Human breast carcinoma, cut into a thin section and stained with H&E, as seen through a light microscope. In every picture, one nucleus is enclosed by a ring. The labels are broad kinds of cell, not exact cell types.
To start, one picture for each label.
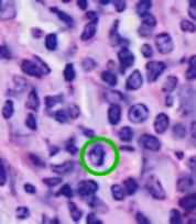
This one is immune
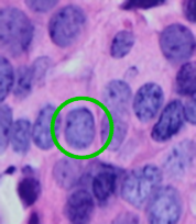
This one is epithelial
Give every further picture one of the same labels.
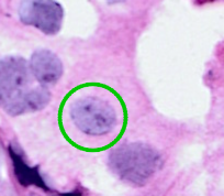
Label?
epithelial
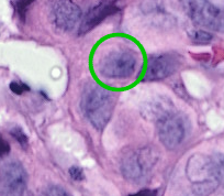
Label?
epithelial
